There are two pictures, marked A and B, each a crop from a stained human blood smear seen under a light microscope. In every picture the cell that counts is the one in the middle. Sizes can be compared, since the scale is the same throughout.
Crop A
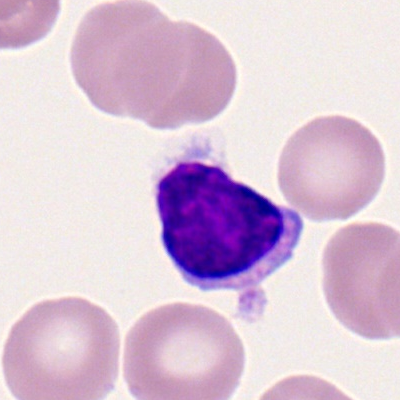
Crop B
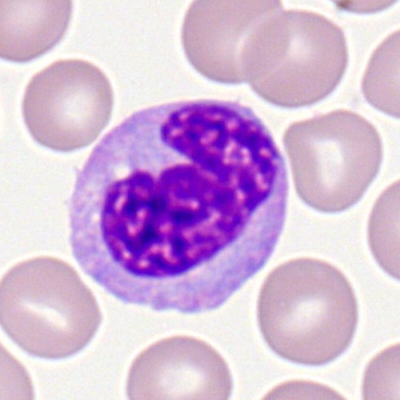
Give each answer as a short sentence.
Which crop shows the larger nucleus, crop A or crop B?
Crop B shows the larger nucleus; it covers about 1.5 times the area of the nucleus in crop A.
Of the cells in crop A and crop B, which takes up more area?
Larger is the cell in crop B, at roughly 2.5 times the area of the other.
